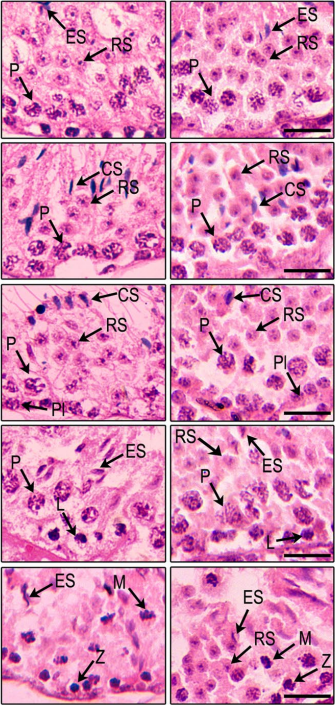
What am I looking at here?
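These crops of seminiferous epithelium in pink and purple show spermatocytes and spermatids arranged in layers. Large pachytene spermatocytes with coarse chromatin lie in the middle layers, round spermatids with pale round nuclei sit above them, and condensed or elongated spermatids with dark, narrow heads lie toward the lumen. In the right column of later stages, round spermatids persist beside only a few elongated heads.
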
